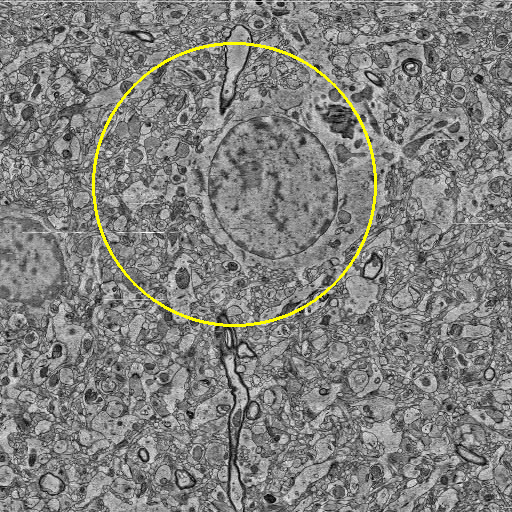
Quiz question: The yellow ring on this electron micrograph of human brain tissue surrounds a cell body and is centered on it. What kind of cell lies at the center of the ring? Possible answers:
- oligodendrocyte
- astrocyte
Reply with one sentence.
The ring's center lies on an astrocyte.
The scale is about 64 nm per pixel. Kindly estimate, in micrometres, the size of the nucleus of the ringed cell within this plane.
About 9 by 8 micrometers for the nucleus, in this plane.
